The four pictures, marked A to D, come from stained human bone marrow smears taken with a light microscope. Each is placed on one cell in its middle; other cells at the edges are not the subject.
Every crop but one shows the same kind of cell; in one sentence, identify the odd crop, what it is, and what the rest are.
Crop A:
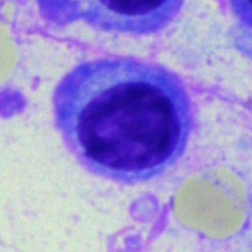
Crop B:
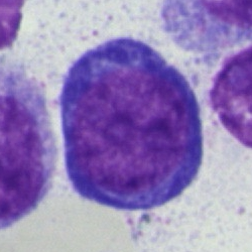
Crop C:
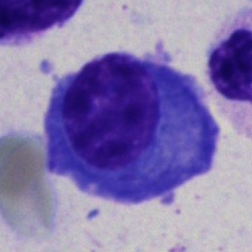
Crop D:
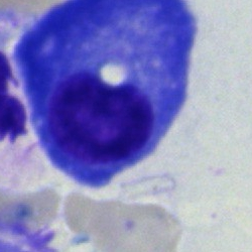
Crop B differs from the others in showing a proerythroblast; the rest all show plasma cells.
